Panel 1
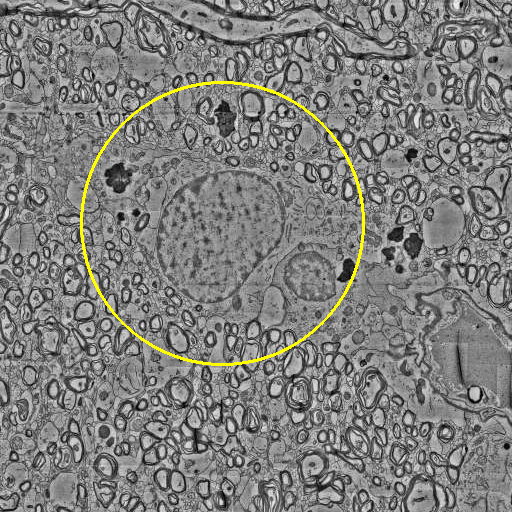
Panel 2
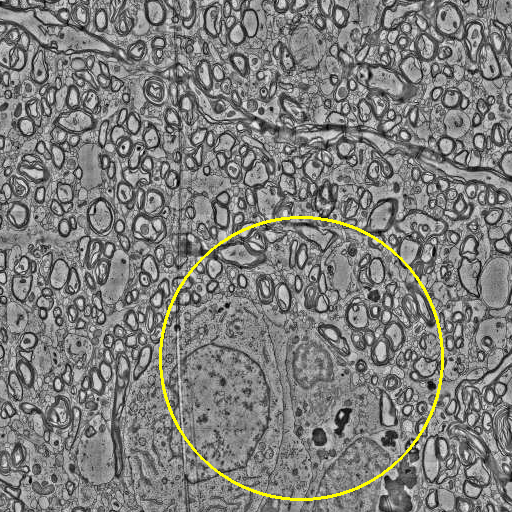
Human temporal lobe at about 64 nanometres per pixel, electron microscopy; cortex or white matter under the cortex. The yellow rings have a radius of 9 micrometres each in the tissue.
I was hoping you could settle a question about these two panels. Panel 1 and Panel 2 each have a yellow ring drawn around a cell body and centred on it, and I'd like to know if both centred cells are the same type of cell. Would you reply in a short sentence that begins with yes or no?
No, they are two types of cell.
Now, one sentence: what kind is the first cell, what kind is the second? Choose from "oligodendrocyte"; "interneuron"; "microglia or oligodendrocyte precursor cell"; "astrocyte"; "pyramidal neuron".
The first picture has a microglial cell or oligodendrocyte precursor cell at its ring centre, and the second has an oligodendrocyte.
